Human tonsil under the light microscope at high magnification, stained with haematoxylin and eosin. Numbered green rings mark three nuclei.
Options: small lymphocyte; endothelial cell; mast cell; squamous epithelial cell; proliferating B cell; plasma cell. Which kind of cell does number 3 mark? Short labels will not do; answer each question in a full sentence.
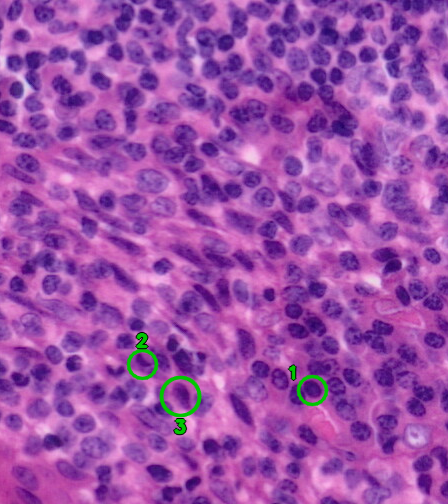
What the number 3 marks in this field is a squamous epithelial cell.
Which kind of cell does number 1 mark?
Cell 1 of the marked set is a plasma cell.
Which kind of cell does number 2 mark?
The cell pointed out by number 2 is a squamous epithelial cell.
